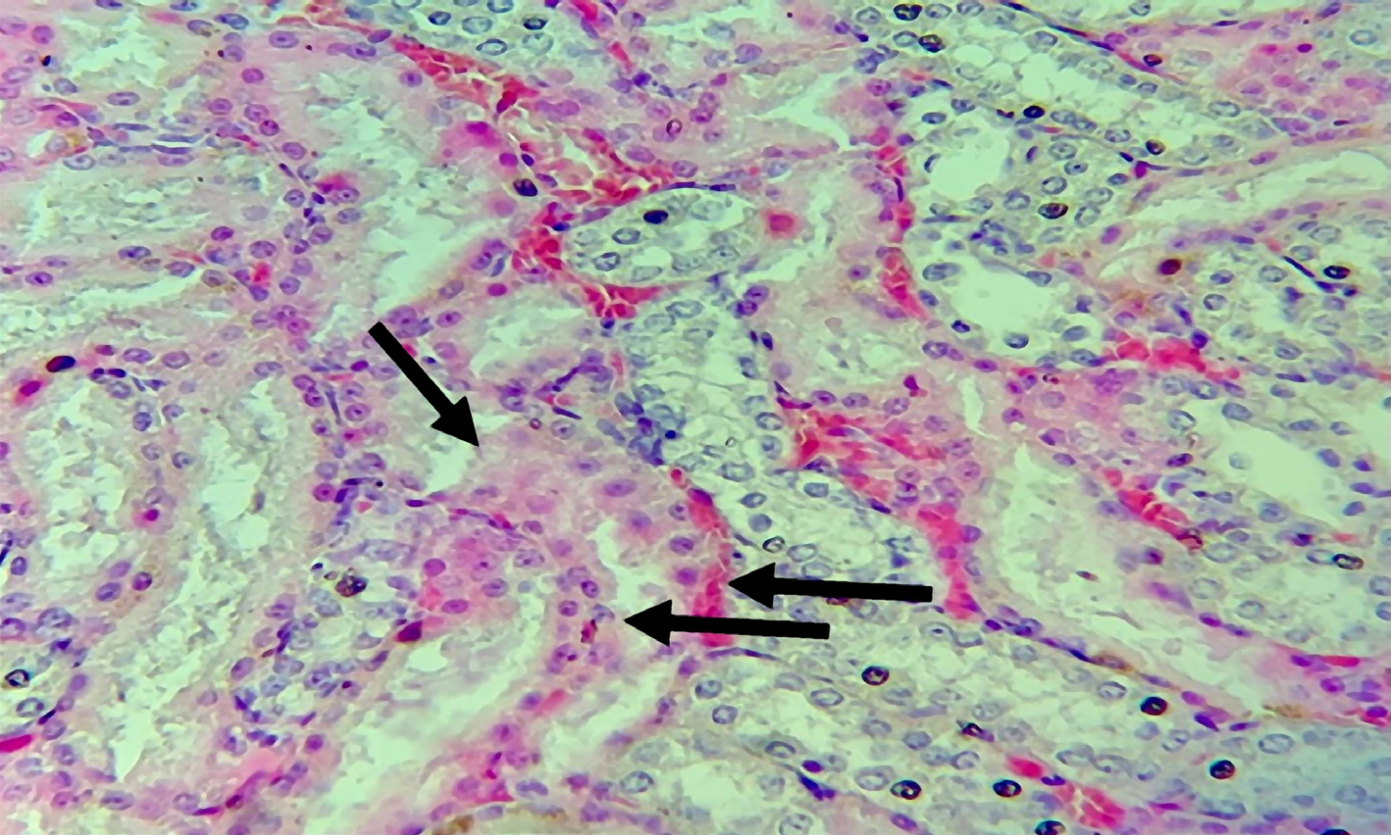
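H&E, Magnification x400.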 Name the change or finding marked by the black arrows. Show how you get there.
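The cytoplasm of the epithelial cells near the arrows stains a deeper pink than that of the neighbouring pale cells. The cells near the arrows look enlarged and crowd the lumina of the tubules they line. That points to this answer: cellular swelling and cytoplasmic eosinophilic.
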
